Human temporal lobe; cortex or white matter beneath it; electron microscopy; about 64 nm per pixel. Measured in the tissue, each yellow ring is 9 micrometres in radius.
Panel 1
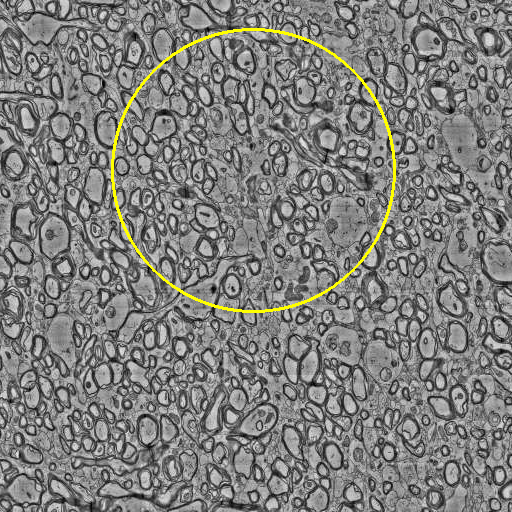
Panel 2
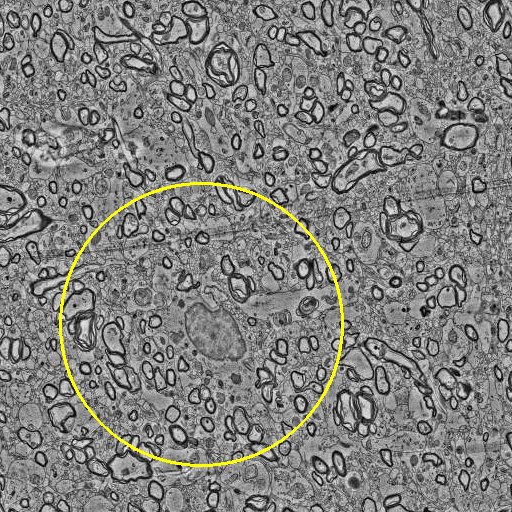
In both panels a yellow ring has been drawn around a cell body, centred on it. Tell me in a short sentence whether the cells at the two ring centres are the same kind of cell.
Yes, they are the same kind of cell.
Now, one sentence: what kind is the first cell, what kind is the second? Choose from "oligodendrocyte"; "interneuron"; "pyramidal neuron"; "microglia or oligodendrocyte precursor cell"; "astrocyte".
Each cell, in the first picture and the second, is an oligodendrocyte.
